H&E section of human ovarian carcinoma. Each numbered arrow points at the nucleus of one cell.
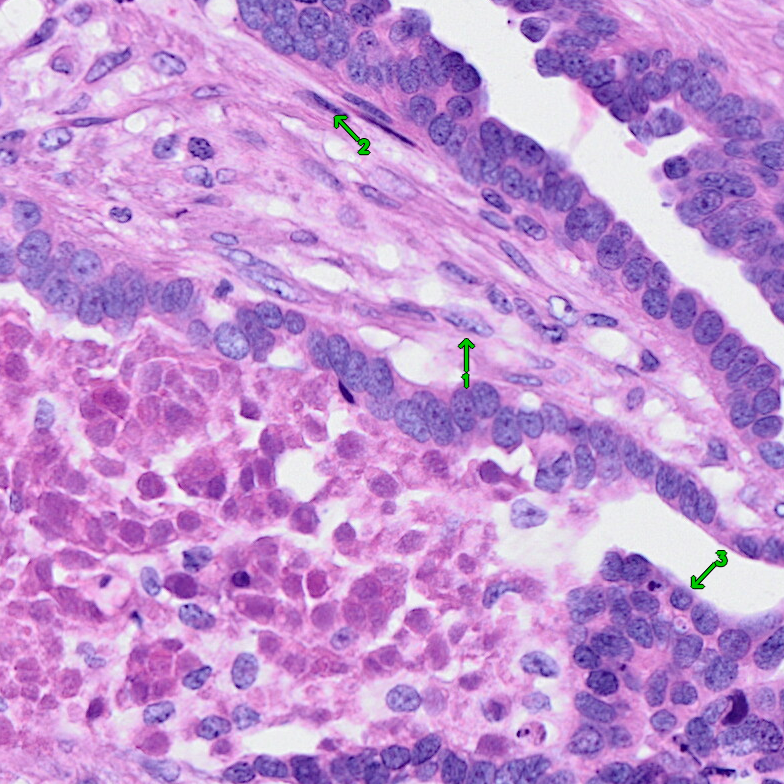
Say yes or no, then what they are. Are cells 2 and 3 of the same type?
No, as for cell 2, it is a fibroblast, and cell 3 is a carcinoma cell.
